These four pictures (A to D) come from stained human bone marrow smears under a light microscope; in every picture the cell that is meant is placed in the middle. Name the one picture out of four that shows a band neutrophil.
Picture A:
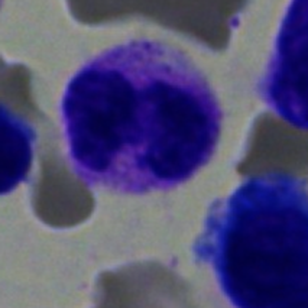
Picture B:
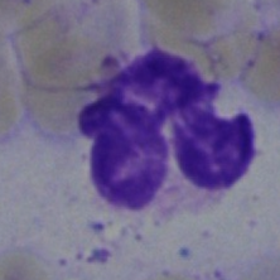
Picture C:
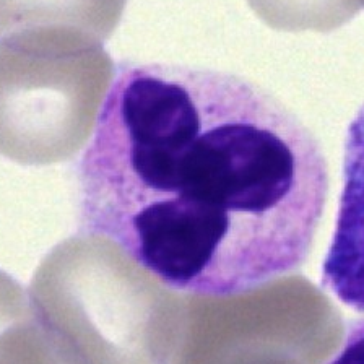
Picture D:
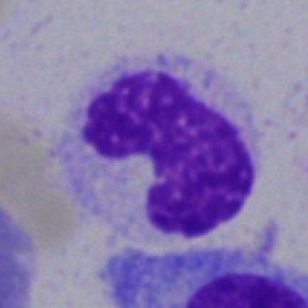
D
